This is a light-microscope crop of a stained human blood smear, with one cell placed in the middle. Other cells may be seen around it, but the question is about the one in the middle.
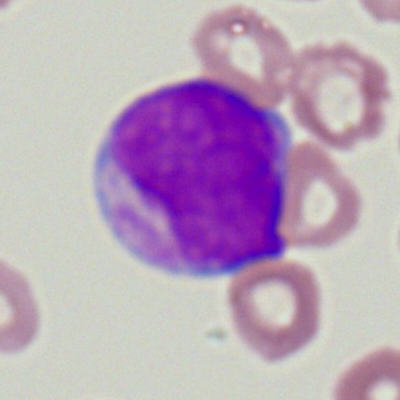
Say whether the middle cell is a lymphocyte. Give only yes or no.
no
